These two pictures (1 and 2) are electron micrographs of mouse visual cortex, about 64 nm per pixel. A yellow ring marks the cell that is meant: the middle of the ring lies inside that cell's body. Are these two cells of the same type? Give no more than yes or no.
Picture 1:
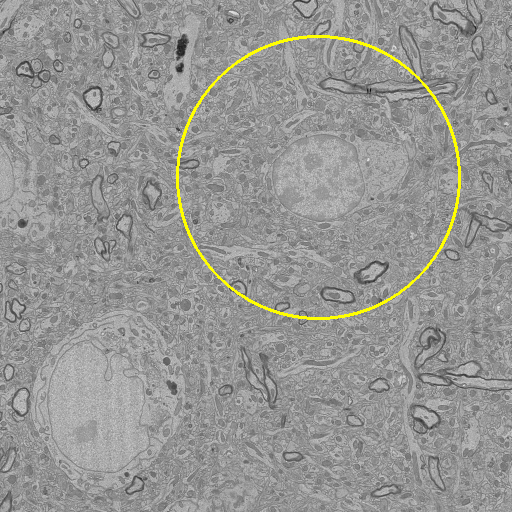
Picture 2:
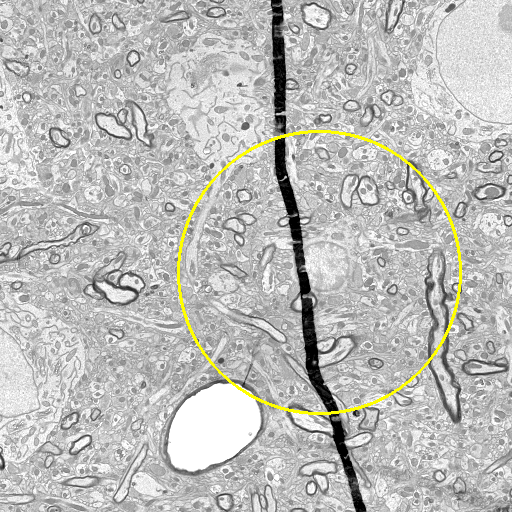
yes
